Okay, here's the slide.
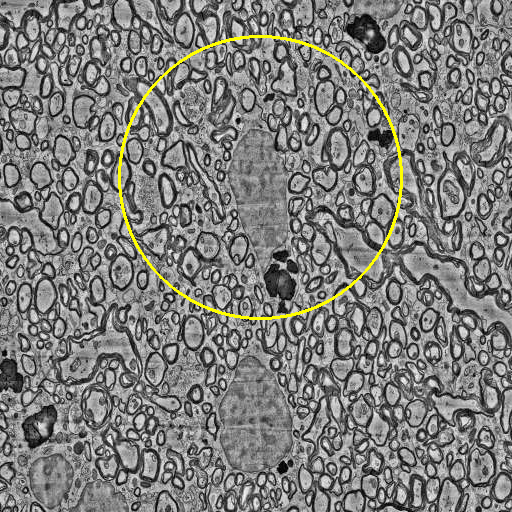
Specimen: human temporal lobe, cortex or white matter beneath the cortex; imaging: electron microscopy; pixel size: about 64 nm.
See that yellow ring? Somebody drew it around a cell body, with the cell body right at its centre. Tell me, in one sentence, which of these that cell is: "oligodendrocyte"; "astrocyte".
The cell in the middle of the ring is an oligodendrocyte.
